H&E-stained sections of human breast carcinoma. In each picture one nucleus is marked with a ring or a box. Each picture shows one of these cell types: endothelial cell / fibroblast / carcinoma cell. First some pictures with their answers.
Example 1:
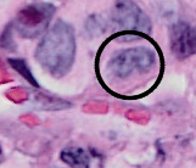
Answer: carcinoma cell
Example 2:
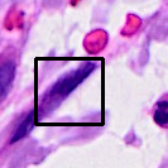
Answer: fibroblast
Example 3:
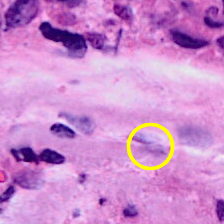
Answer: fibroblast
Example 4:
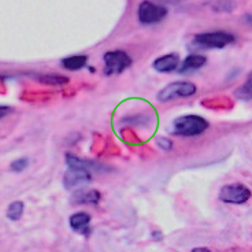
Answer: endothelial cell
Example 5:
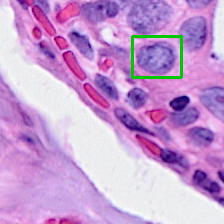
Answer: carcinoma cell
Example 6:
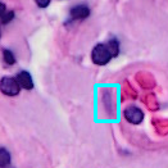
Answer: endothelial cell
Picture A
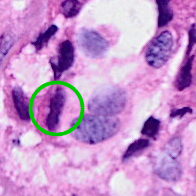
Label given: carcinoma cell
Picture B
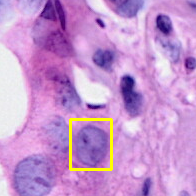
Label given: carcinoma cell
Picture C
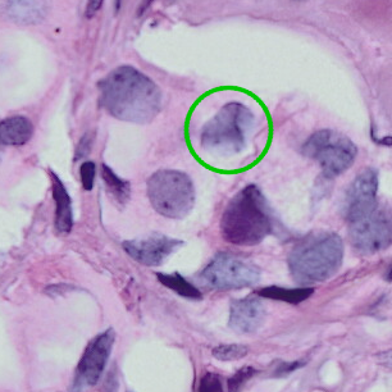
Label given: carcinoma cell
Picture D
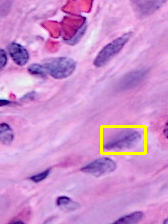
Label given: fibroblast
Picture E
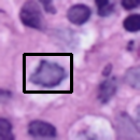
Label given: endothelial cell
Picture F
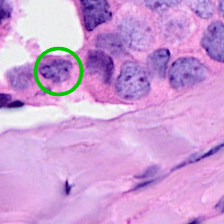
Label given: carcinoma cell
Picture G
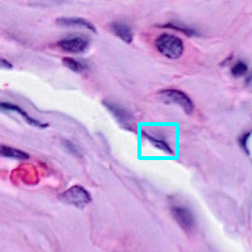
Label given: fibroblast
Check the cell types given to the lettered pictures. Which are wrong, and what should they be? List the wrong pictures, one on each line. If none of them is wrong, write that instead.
Wrong: E (endothelial cell); correct: carcinoma cell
